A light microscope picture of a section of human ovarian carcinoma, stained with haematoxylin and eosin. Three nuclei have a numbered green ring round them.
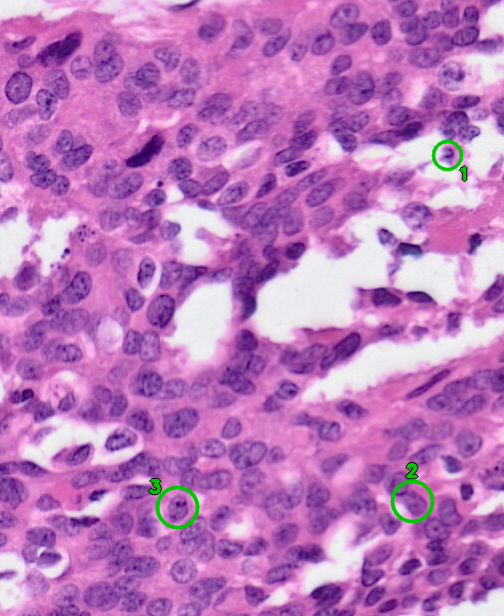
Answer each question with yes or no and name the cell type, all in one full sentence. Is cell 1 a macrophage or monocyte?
Yes, the cell labelled with number 1 is a macrophage or monocyte.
